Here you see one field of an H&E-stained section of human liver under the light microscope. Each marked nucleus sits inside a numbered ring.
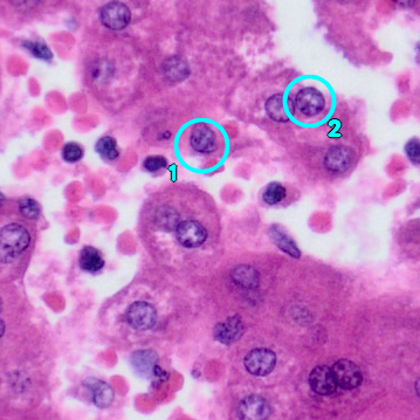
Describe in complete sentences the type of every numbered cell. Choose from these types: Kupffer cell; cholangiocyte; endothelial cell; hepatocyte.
Cell 1 is a Kupffer cell. Cell 2 is a hepatocyte.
